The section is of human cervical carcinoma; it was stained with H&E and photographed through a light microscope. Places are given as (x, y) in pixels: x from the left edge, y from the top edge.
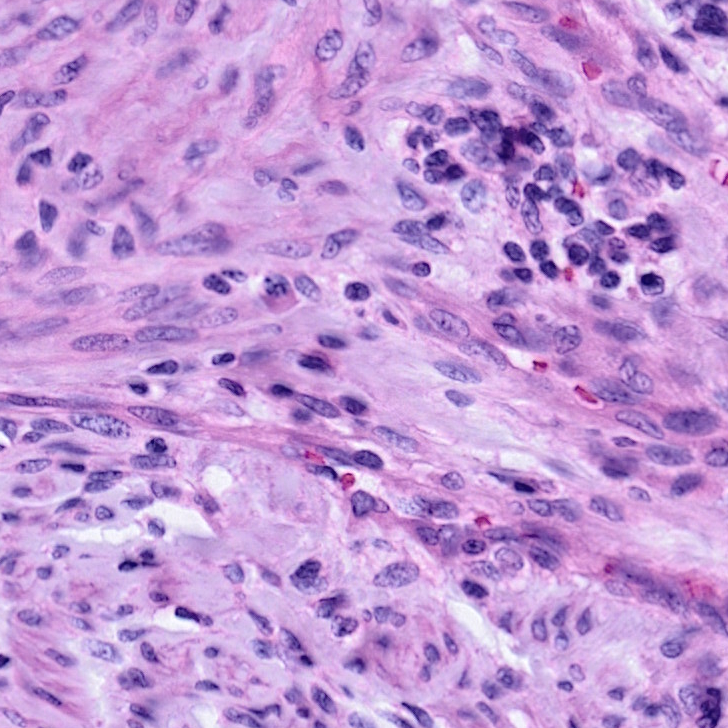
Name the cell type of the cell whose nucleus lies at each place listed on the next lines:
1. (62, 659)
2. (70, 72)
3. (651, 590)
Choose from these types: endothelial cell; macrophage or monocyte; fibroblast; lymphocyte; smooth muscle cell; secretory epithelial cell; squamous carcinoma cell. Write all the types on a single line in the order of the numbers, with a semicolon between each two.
smooth muscle cell; smooth muscle cell; endothelial cell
